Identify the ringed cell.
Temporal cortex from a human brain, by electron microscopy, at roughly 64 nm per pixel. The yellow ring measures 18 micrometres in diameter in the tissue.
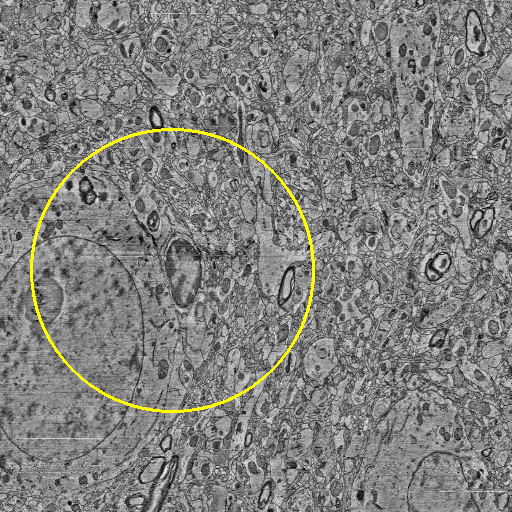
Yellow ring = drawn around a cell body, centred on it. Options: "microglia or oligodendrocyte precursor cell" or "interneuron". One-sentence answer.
What the ring is centred on is a microglial cell or oligodendrocyte precursor cell.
